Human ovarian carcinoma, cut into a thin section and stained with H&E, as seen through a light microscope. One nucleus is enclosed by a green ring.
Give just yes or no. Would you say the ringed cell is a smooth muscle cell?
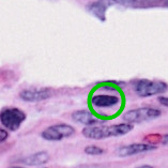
no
